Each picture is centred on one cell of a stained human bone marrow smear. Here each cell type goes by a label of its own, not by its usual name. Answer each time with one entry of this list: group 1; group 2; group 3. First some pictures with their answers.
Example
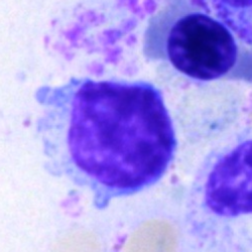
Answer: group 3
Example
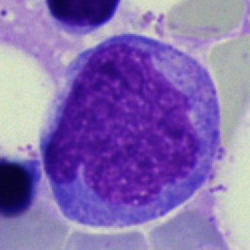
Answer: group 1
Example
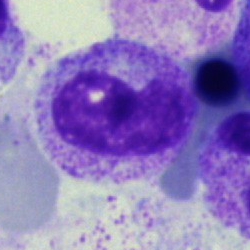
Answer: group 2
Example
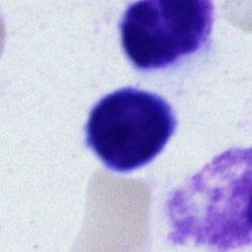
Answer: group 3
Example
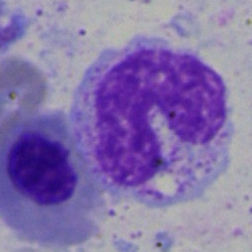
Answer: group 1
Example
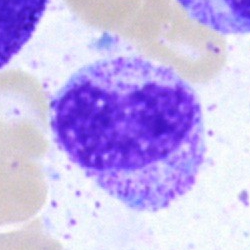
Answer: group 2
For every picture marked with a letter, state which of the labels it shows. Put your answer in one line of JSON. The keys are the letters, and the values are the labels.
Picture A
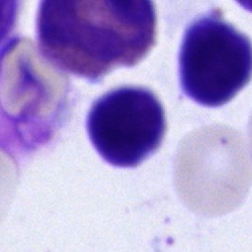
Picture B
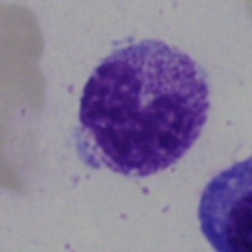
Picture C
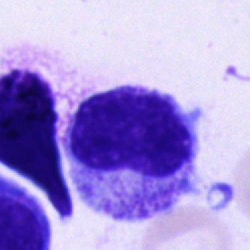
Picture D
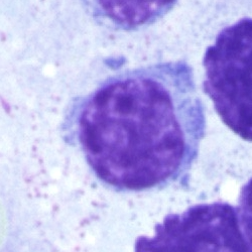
{"A": "group 3", "B": "group 2", "C": "group 2", "D": "group 3"}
